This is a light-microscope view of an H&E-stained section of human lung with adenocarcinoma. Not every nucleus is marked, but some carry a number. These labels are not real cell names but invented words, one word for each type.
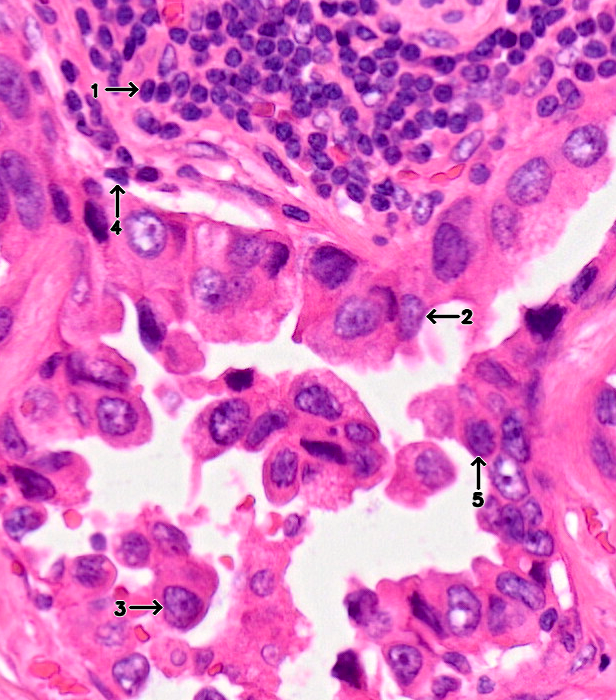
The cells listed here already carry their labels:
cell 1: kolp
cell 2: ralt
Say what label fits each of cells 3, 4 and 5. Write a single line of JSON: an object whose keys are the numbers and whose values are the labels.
{"3": "ralt", "4": "kolp", "5": "ralt"}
